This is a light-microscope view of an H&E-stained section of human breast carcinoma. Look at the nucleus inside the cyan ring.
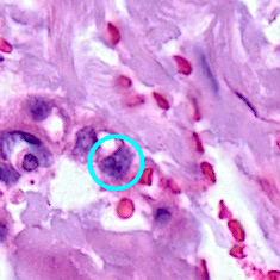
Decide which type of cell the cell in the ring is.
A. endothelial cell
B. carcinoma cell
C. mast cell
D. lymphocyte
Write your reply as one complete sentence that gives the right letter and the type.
Option A is the correct one, since the cell in the ring is an endothelial cell.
